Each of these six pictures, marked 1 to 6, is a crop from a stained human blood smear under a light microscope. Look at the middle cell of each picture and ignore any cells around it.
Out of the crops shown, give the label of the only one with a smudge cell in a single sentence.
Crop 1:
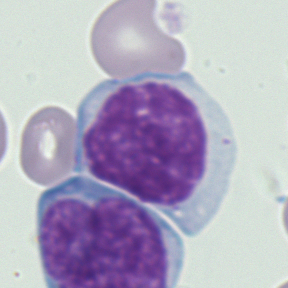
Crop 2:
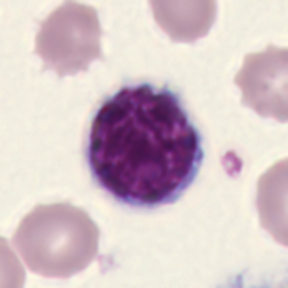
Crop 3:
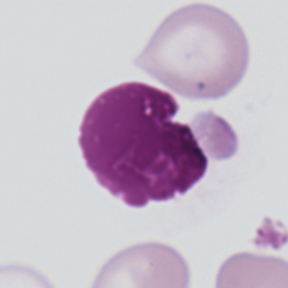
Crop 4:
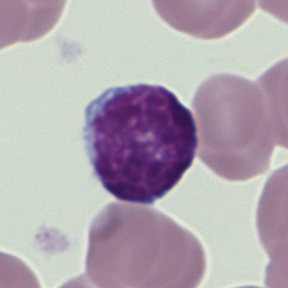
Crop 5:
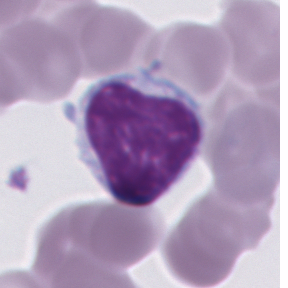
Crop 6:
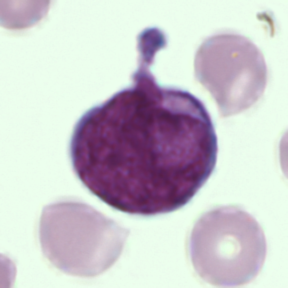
On review of the set, crop 3 is the one showing a smudge cell.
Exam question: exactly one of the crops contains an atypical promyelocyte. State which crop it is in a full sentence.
Of all the crops, crop 6 is the one showing an atypical promyelocyte.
